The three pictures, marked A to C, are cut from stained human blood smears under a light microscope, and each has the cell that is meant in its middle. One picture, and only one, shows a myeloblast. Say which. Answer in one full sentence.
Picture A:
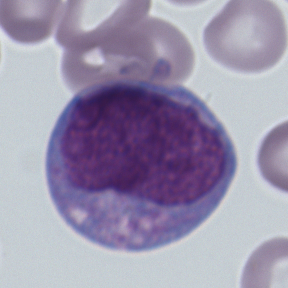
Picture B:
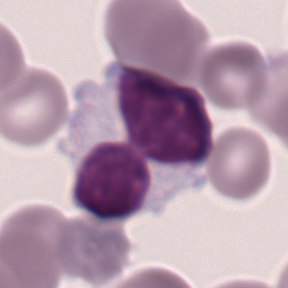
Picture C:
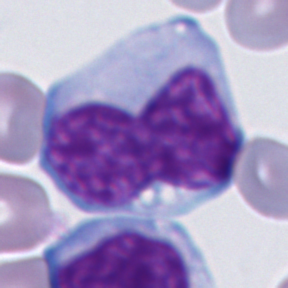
It is picture C that shows the myeloblast.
